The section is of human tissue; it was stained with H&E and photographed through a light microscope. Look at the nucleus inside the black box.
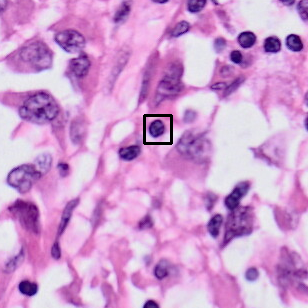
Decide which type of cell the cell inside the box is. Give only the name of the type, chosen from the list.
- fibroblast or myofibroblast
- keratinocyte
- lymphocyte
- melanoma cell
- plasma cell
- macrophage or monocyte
lymphocyte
